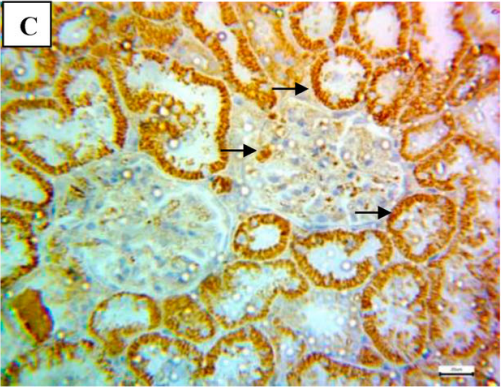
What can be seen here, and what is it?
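This is kidney cortex, with many renal tubules cut across and a glomerulus to the left. The tubules are lined by a single layer of cuboidal epithelial cells around open lumens, and their cytoplasm is filled with a strong, granular brown deposit, so each tubule looks like a dark brown ring. The glomerulus is a rounded, paler tuft of many small blue nuclei with only faint brownish tinge. Between tubules lies a paler interstitium with scattered blue nuclei. Several round refractile bubbles lie on the section as artefacts.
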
